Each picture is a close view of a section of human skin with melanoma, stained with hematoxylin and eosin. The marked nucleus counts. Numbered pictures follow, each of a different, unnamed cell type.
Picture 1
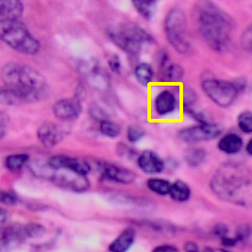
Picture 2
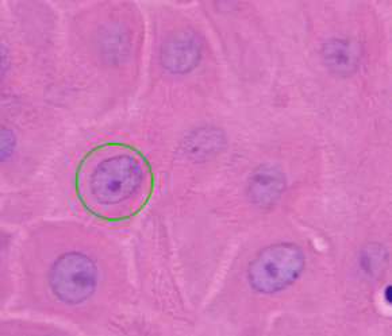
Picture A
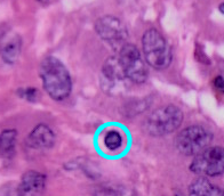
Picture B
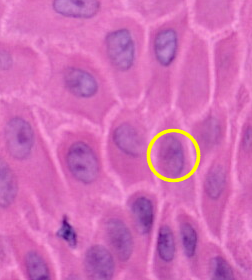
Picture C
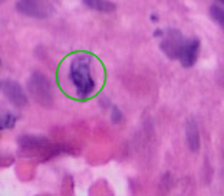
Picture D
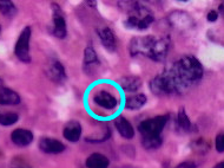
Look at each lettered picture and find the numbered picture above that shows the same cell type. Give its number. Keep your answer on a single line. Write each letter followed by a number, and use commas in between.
A 1, B 2, C 1, D 1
